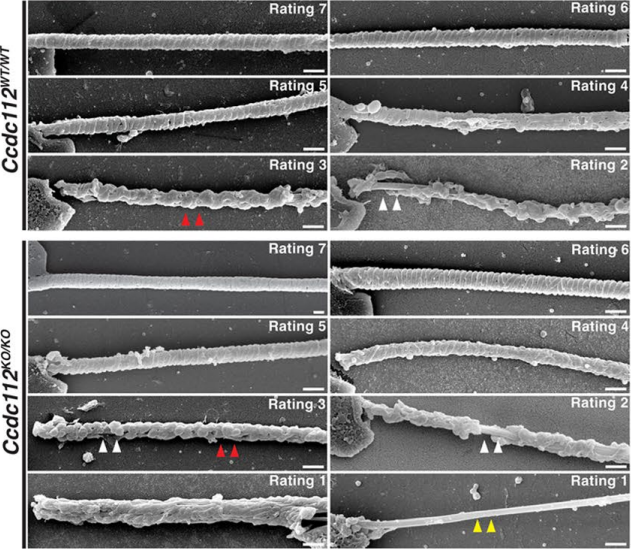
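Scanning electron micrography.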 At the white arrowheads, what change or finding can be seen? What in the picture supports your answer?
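At the white arrowheads the beaded surface covering of the midpiece is missing. Thin longitudinal fibers lie bare where the covering is absent. The answer: exposed outer dense fibers.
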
